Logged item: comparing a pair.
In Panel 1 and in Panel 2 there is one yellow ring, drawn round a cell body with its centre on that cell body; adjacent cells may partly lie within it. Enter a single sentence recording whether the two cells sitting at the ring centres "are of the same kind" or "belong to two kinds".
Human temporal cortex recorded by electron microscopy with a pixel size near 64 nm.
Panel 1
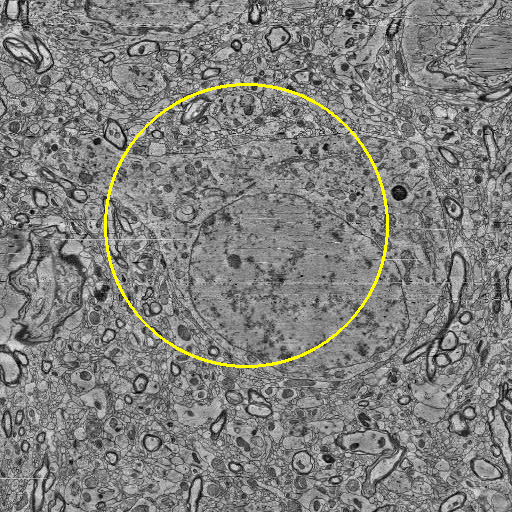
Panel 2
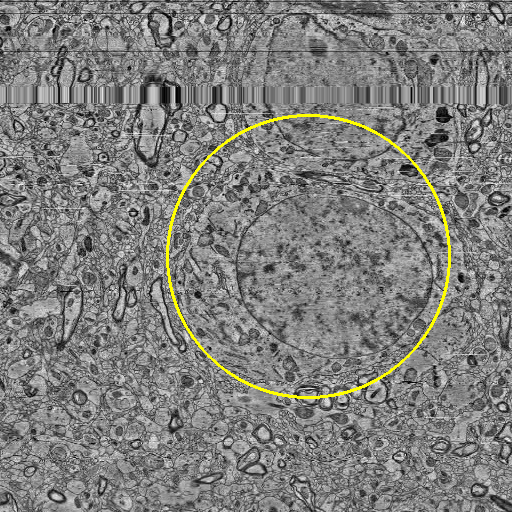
Logged: the cells centred in the rings of Panel 1 and Panel 2 belong to two kinds.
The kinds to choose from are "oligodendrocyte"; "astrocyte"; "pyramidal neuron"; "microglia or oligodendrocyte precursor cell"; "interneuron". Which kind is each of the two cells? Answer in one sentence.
Of the two, the first cell is a pyramidal neuron and the second cell is an interneuron.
